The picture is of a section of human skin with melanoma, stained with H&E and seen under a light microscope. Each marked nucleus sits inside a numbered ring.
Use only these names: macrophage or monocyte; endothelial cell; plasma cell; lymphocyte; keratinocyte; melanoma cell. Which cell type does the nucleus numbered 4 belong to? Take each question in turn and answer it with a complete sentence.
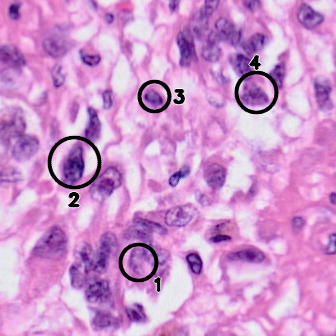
Cell number 4 in this section is a melanoma cell.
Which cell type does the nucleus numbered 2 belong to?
The one labeled 2 is a melanoma cell, to put it simply.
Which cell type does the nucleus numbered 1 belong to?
The cell identified by number 1 is a melanoma cell.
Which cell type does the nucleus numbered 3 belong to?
The cell given label 3 is a macrophage or monocyte.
